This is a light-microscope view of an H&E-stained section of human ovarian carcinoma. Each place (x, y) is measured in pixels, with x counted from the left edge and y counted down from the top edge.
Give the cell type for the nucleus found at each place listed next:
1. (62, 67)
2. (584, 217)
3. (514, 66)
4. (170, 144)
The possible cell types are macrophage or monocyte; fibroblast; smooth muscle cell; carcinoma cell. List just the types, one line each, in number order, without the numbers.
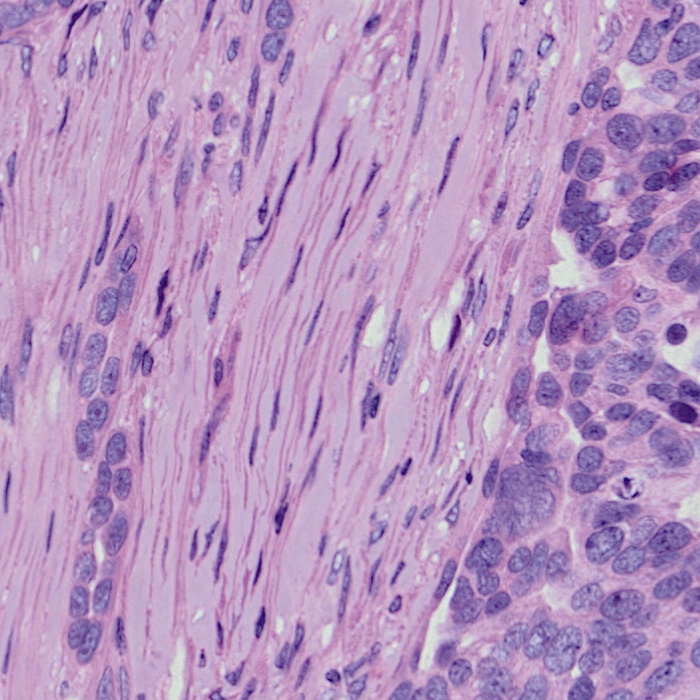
fibroblast
carcinoma cell
fibroblast
fibroblast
